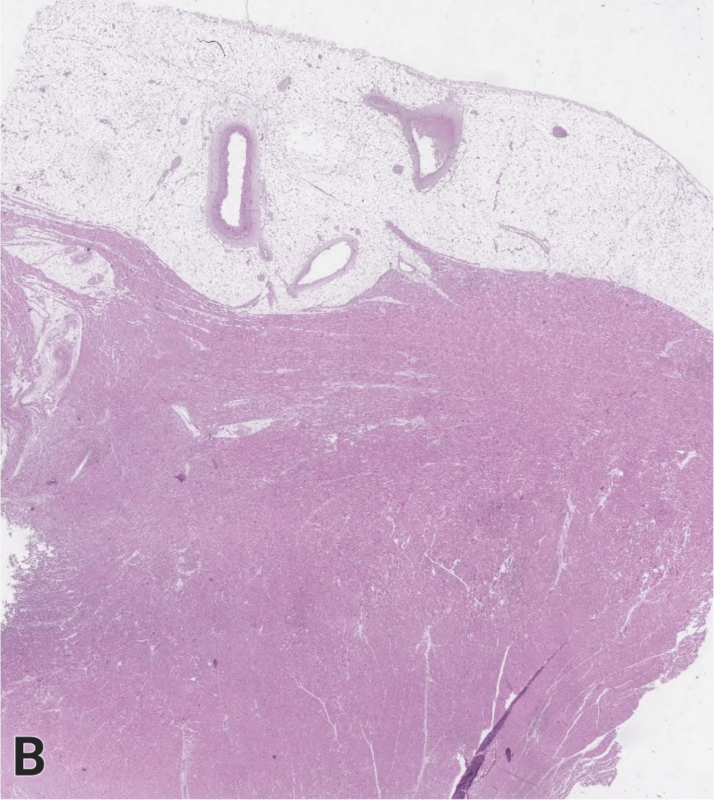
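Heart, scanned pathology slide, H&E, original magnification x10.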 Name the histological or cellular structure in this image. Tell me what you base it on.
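A pale, finely meshed layer lies over the dense pink muscle at the top. Thick-walled vessels lie within this pale layer.
Hence: epicardial fat.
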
